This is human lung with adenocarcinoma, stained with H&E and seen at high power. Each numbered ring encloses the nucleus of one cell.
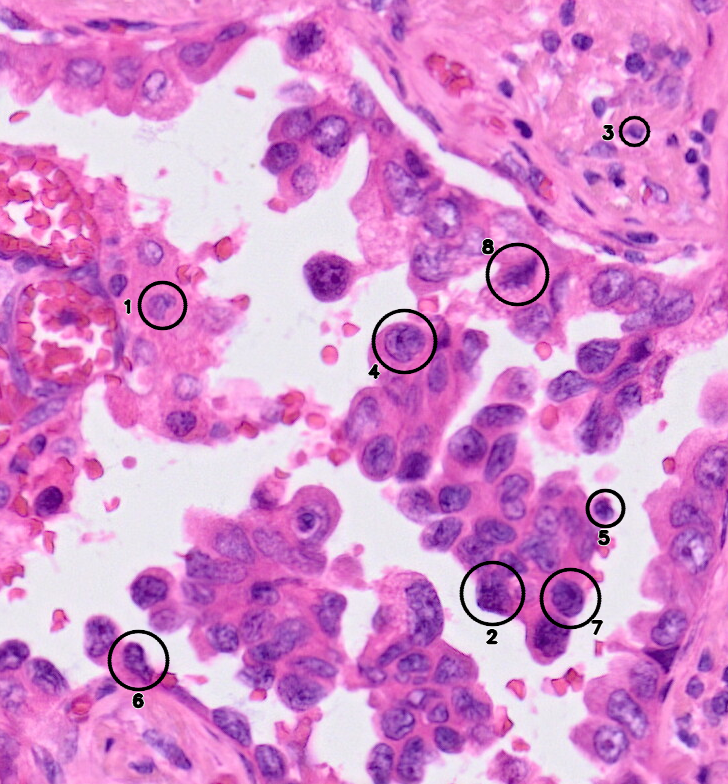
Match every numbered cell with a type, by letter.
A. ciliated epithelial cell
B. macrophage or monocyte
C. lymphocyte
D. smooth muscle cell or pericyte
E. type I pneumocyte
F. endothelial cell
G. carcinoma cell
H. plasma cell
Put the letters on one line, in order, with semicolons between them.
B; G; C; G; C; G; G; G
